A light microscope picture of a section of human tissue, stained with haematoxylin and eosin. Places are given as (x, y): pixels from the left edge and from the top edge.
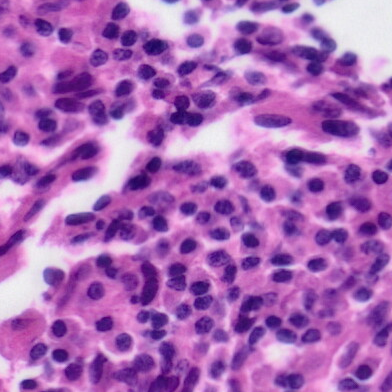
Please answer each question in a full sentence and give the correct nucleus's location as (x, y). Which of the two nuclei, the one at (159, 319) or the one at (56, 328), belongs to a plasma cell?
Out of the two, it is the nucleus at (56, 328) that belongs to a plasma cell.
